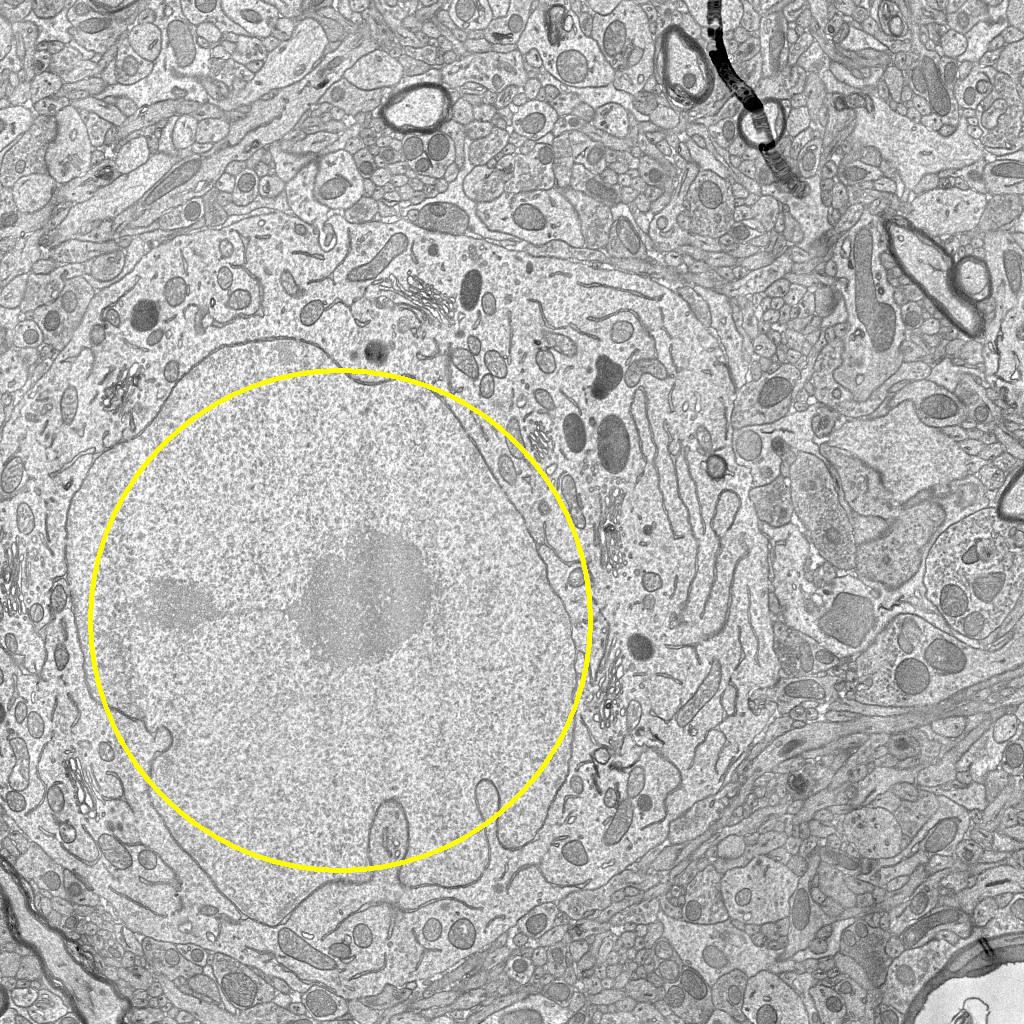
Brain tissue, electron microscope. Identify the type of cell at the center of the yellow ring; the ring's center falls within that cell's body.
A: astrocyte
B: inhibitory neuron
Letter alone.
B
